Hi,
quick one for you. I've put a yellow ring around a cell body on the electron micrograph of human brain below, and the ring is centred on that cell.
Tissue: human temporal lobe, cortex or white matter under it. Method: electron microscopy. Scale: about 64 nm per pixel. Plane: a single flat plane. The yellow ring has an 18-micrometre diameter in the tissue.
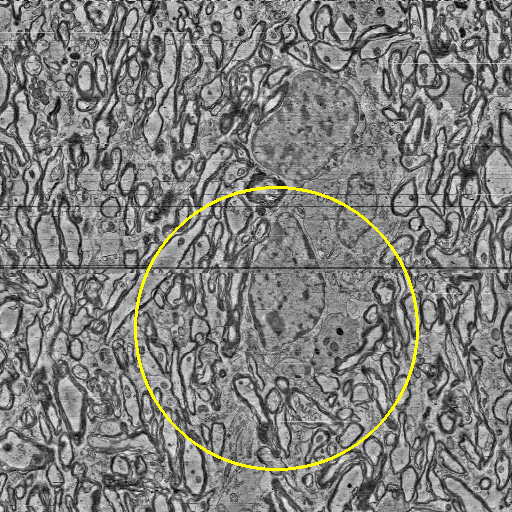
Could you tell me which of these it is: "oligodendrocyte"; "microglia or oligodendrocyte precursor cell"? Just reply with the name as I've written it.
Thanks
microglia or oligodendrocyte precursor cell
